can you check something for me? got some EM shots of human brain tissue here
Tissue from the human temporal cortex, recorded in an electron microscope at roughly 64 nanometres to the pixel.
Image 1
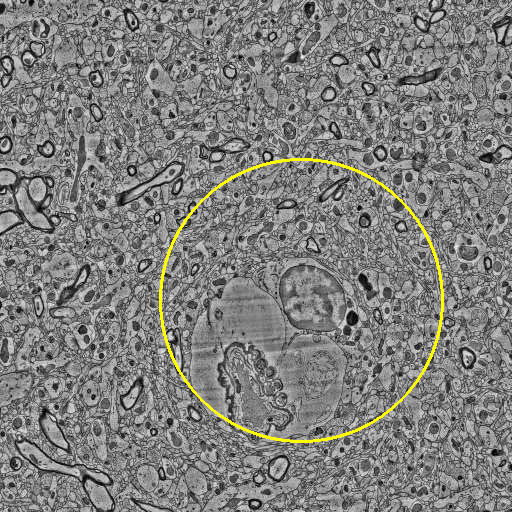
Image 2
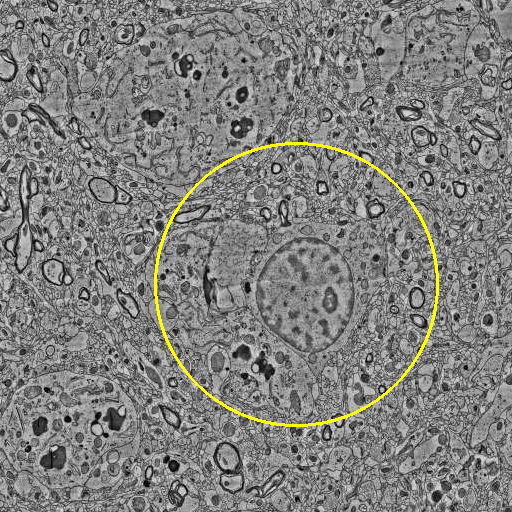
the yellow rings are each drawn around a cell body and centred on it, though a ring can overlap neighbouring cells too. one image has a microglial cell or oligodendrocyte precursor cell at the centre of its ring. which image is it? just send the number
1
